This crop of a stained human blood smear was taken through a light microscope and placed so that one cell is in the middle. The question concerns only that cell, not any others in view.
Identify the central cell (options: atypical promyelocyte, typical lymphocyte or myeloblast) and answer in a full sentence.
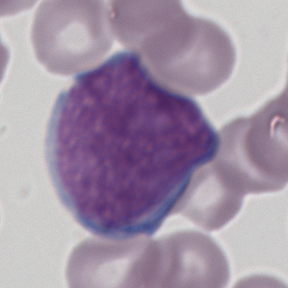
In the middle of this smear crop is a myeloblast.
